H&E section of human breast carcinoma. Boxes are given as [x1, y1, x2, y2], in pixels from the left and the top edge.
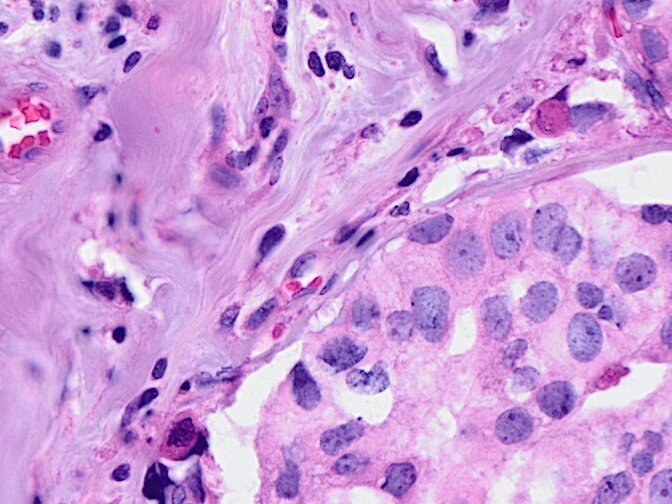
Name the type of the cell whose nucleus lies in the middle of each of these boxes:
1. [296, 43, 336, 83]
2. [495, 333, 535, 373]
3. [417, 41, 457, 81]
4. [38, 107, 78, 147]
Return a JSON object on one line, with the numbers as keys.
{"1": "lymphocyte", "2": "carcinoma cell", "3": "fibroblast", "4": "endothelial cell"}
